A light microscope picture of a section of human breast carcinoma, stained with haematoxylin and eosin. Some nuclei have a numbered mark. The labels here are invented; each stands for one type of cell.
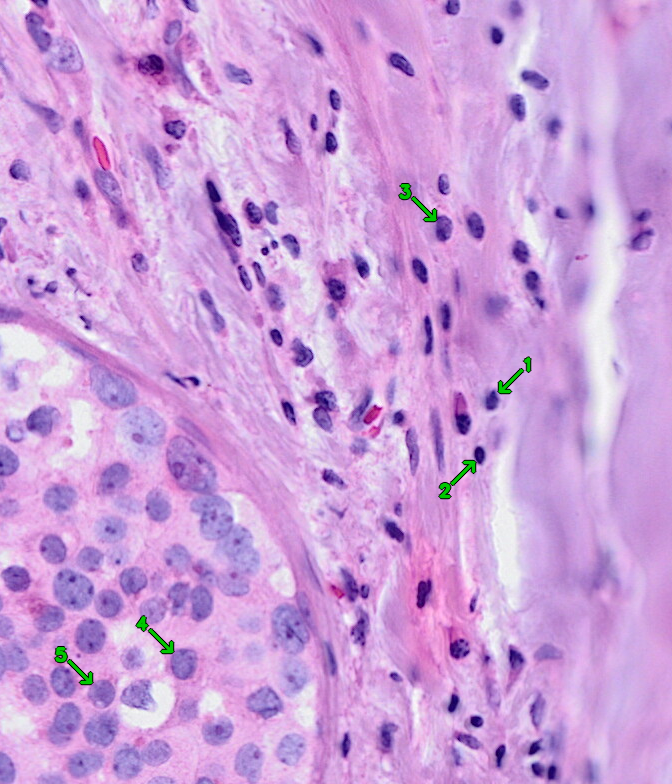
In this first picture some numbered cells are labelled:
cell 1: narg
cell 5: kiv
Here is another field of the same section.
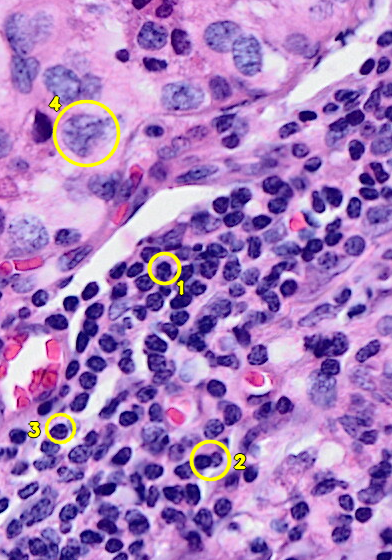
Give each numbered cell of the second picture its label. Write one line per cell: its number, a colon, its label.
1: narg
2: narg
3: narg
4: kiv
